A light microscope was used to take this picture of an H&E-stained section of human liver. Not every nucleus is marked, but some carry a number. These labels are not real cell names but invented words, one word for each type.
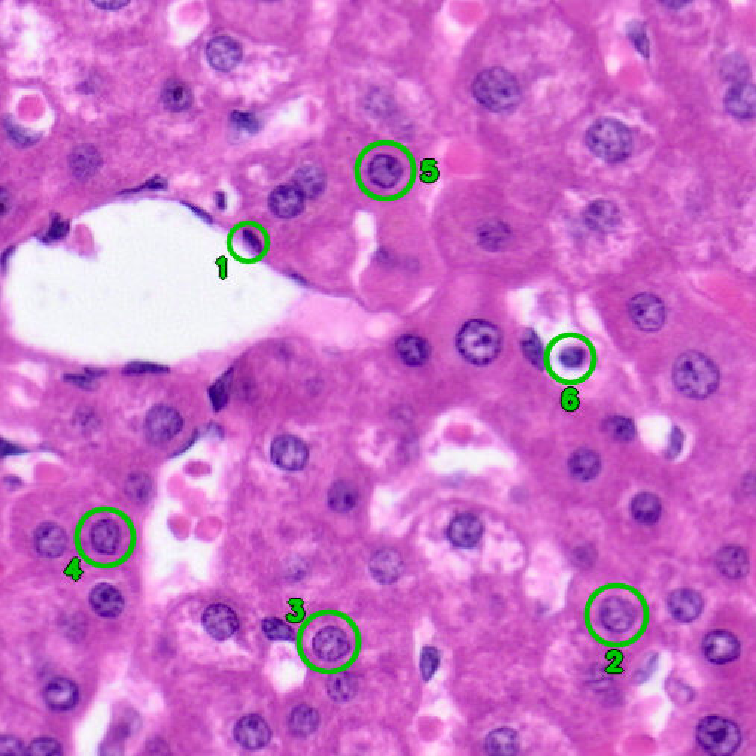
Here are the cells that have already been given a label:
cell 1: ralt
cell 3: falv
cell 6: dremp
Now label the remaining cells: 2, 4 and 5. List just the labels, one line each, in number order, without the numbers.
falv
falv
falv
